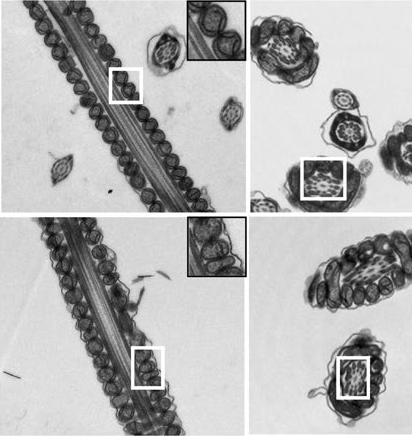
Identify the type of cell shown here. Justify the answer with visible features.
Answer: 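Sperm. Long slender profiles with a central bundle of fibres wrapped by a row of rounded electron-dense bodies. Round cross sections with a central ring of microtubule doublets and surrounding dense fibres.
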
